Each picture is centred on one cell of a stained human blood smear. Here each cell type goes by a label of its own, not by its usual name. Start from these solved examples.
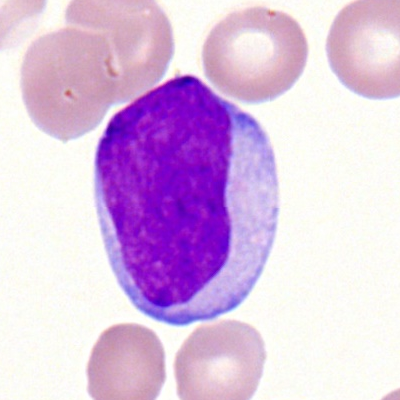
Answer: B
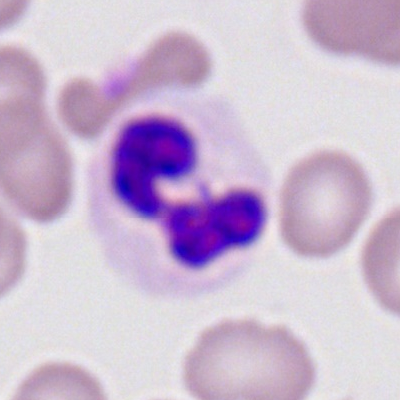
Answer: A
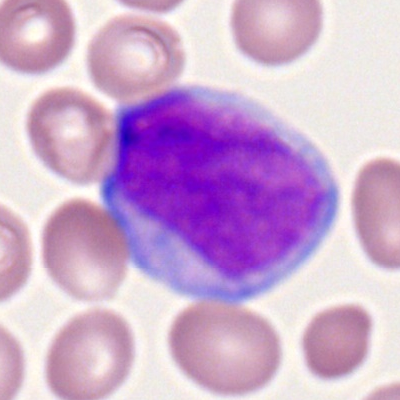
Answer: B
